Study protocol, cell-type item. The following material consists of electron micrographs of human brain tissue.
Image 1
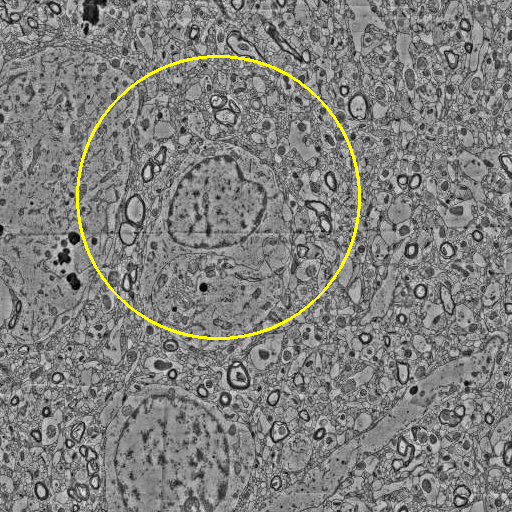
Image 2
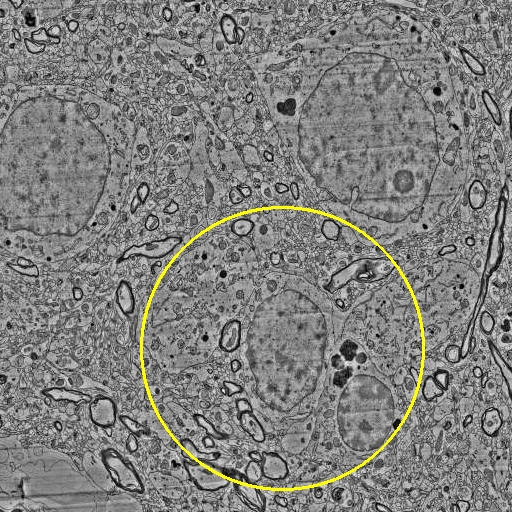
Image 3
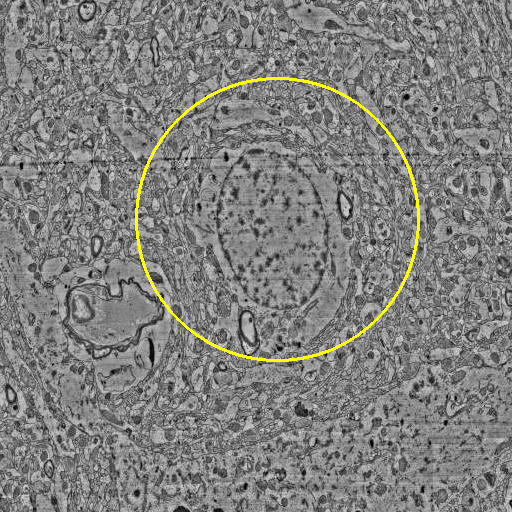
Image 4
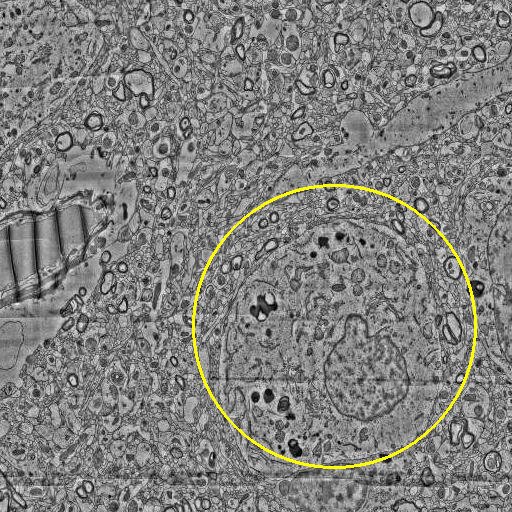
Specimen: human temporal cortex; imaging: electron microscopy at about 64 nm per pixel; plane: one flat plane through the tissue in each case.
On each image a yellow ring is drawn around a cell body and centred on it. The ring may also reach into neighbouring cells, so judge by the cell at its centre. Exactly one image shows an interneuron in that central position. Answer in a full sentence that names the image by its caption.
The cell at the centre of the ring in Image 2 is of that kind.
